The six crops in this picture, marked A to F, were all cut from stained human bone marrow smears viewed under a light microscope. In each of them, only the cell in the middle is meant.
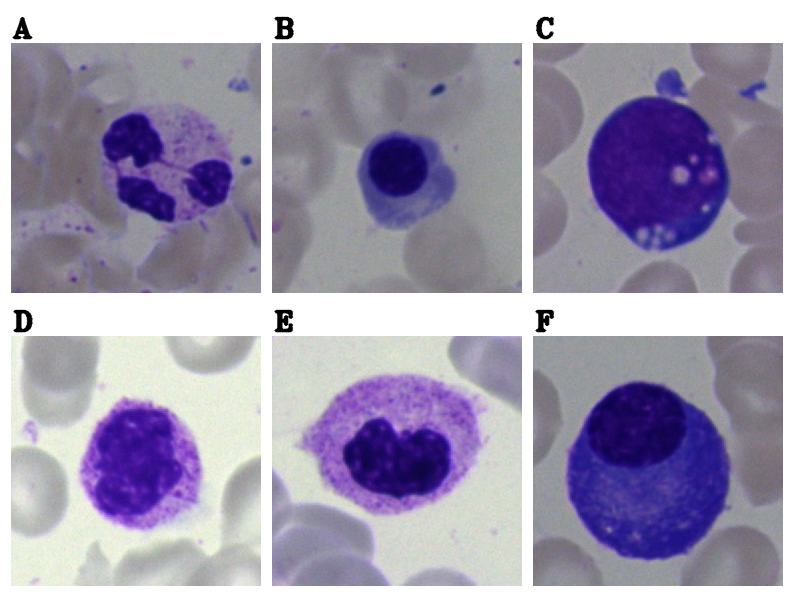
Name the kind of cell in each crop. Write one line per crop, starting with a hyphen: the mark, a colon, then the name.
- A: segmented neutrophil
- B: normoblast
- C: blast
- D: basophil
- E: band neutrophil
- F: plasma cell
